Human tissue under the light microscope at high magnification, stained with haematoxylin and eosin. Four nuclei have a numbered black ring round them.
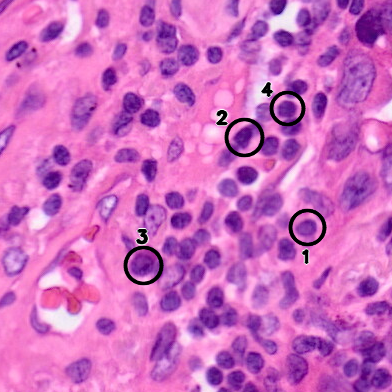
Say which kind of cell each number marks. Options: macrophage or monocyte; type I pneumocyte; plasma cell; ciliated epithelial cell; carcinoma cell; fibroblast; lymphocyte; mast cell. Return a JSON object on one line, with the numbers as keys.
{"1": "lymphocyte", "2": "lymphocyte", "3": "plasma cell", "4": "lymphocyte"}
